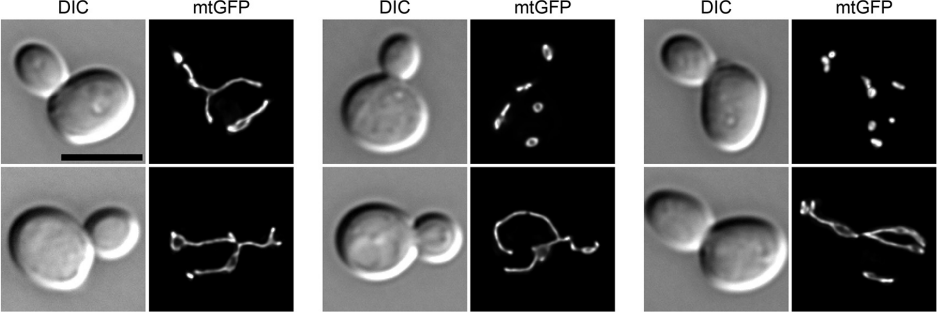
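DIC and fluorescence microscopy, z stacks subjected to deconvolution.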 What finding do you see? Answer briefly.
fragmentation of mitochondria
